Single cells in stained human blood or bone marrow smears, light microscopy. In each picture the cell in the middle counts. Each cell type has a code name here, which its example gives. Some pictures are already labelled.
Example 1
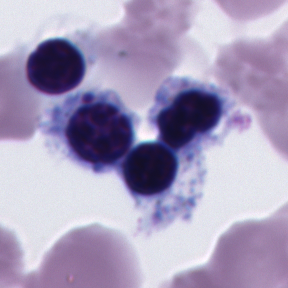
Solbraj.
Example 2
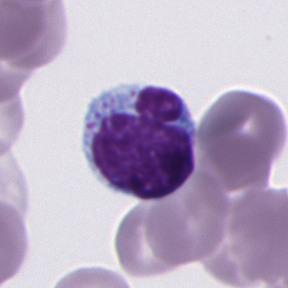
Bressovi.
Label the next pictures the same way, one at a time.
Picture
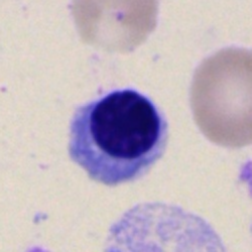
Solbraj.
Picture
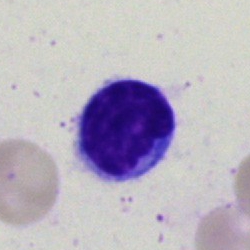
Bressovi.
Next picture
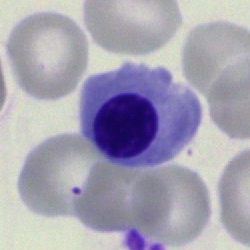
Solbraj.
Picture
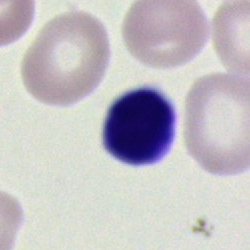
Bressovi.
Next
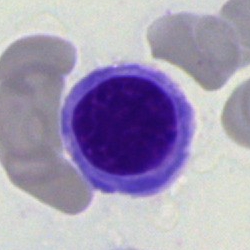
Solbraj.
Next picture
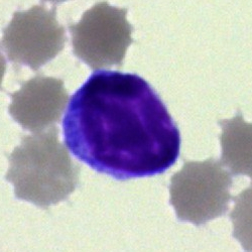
Bressovi.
